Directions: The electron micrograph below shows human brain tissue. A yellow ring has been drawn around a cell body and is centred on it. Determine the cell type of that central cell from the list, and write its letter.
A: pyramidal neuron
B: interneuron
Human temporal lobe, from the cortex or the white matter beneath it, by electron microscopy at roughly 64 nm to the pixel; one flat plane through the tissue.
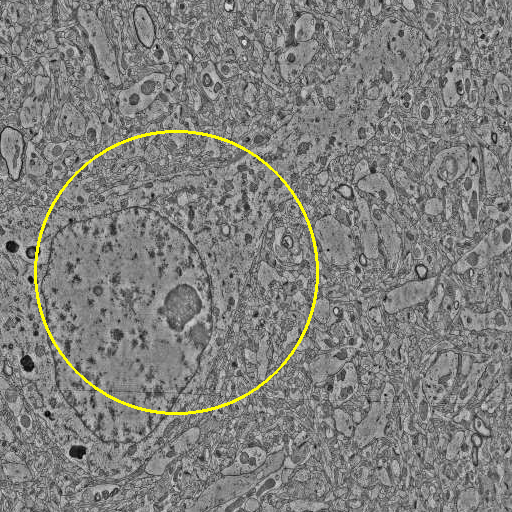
A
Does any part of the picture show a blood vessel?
No, none appears.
